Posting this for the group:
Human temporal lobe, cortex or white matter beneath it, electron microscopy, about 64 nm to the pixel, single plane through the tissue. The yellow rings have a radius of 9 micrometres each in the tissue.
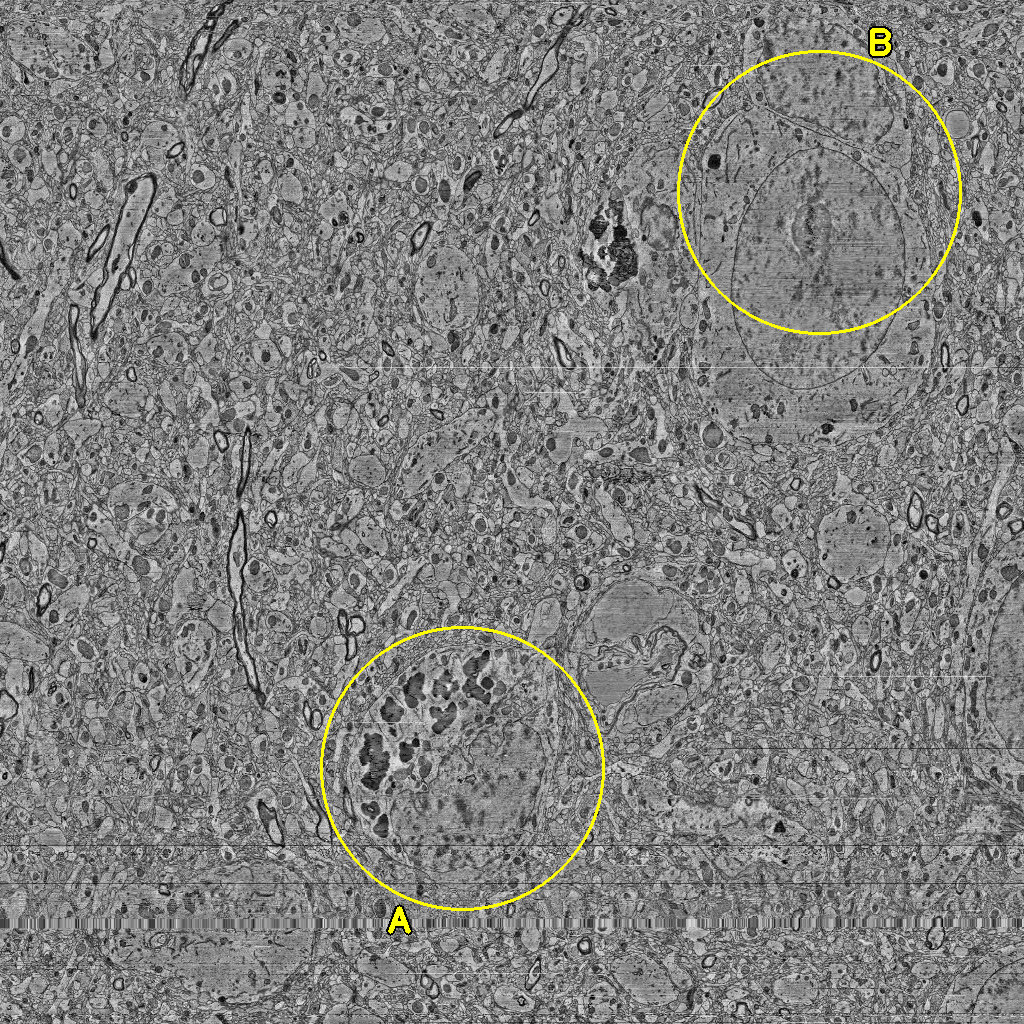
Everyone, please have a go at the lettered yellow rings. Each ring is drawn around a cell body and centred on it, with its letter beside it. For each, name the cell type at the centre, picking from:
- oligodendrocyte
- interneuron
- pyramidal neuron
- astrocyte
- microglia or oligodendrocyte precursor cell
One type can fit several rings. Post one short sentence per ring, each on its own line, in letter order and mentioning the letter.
My call for ring A is an interneuron.
My call for ring B is a pyramidal neuron.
